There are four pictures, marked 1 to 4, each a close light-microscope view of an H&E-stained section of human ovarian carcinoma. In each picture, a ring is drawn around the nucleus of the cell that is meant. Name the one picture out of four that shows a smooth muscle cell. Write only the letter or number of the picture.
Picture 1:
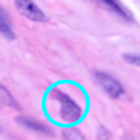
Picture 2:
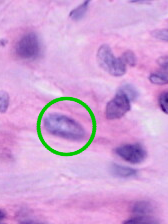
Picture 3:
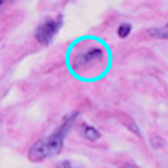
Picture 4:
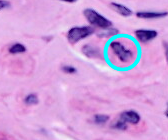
1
